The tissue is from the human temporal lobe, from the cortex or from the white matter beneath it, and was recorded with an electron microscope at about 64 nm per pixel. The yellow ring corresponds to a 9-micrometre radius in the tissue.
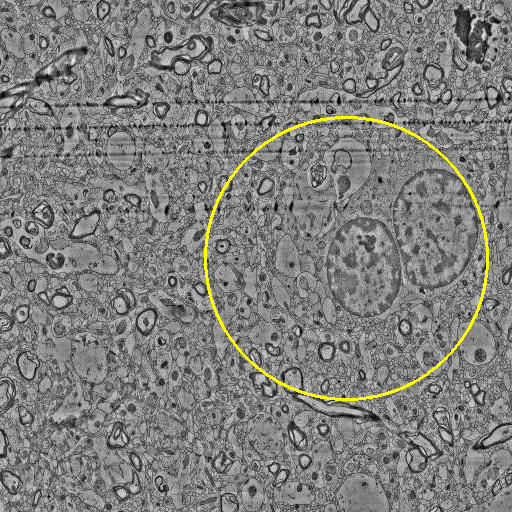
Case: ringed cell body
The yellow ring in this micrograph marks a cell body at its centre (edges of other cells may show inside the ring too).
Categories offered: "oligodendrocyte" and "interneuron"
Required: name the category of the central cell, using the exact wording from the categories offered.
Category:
oligodendrocyte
